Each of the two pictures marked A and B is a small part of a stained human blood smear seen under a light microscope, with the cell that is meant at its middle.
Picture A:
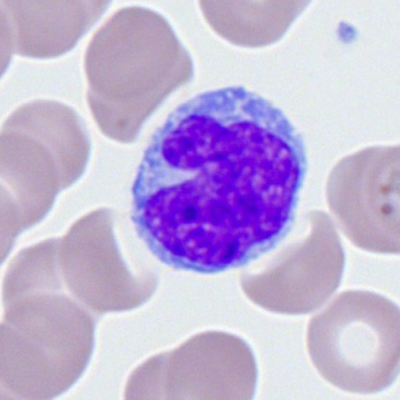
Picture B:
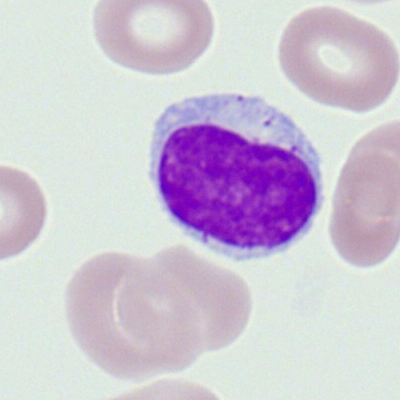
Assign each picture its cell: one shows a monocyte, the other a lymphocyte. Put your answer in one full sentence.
In picture A the cell is a monocyte; in picture B, a lymphocyte.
